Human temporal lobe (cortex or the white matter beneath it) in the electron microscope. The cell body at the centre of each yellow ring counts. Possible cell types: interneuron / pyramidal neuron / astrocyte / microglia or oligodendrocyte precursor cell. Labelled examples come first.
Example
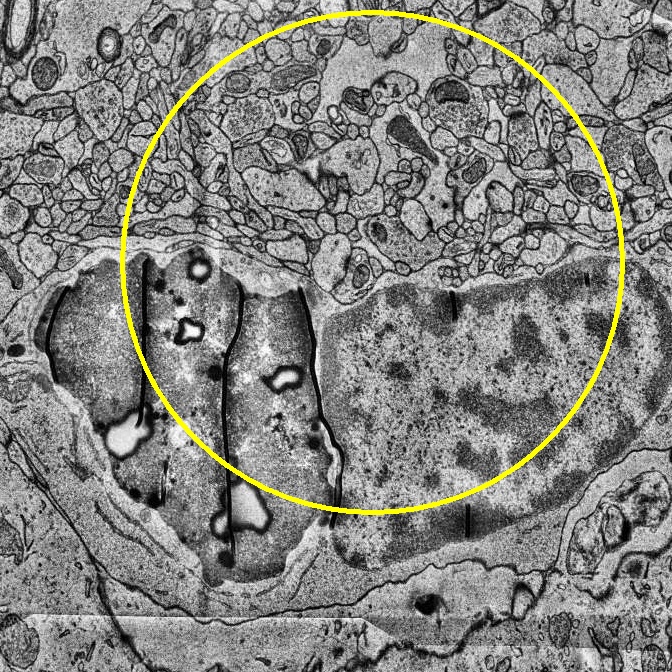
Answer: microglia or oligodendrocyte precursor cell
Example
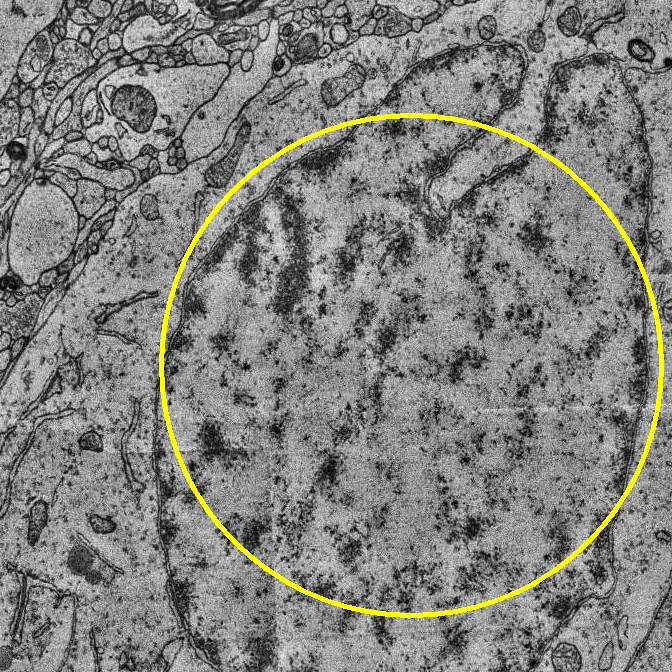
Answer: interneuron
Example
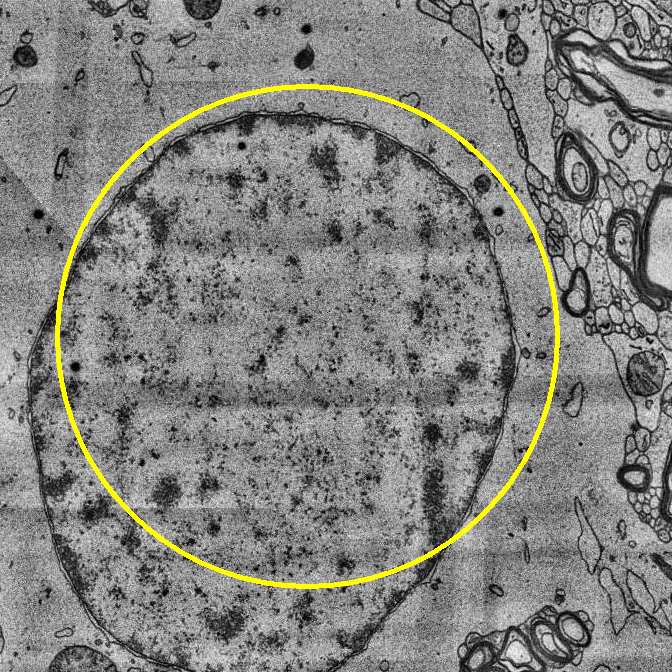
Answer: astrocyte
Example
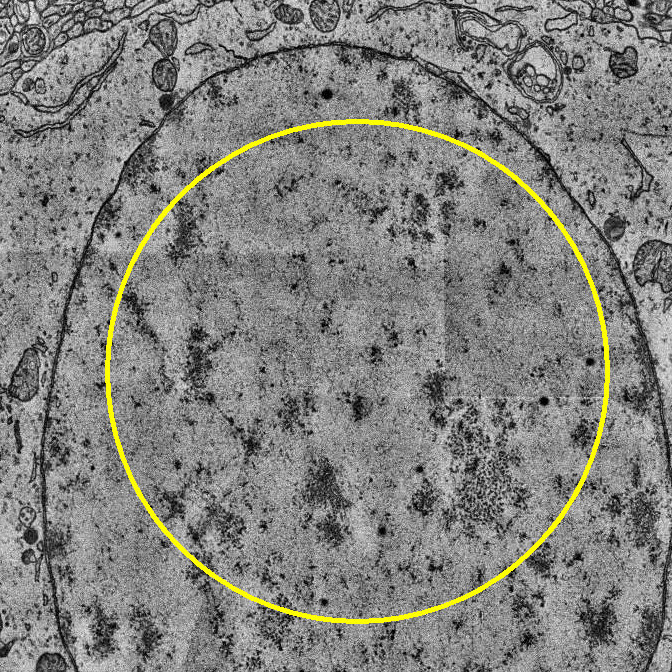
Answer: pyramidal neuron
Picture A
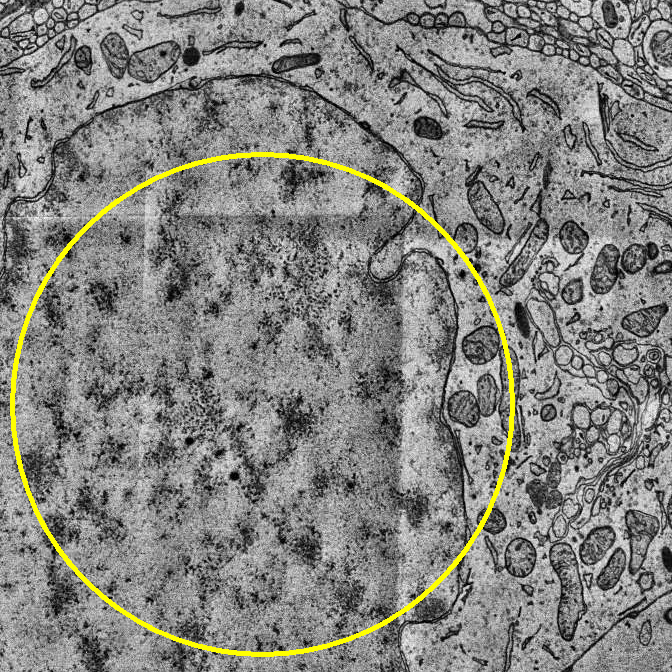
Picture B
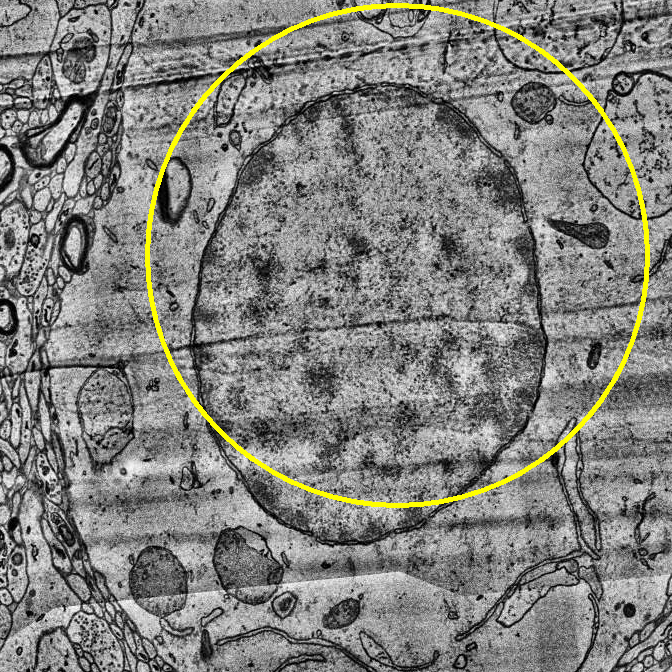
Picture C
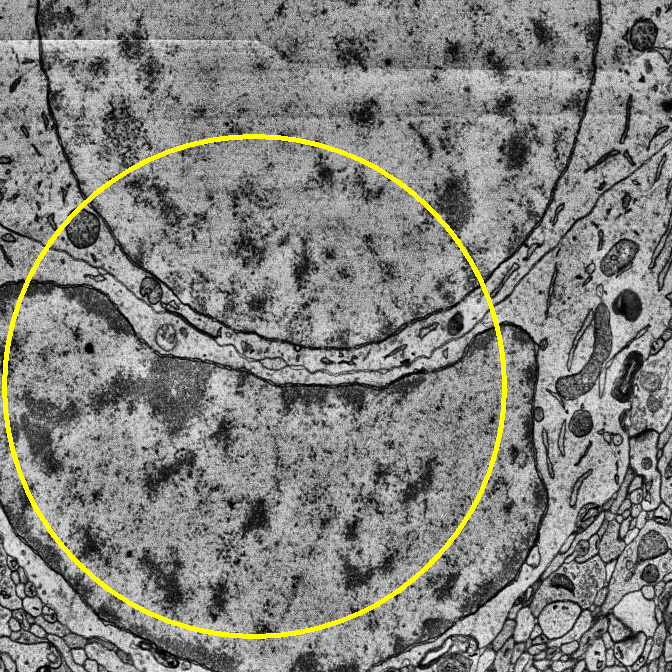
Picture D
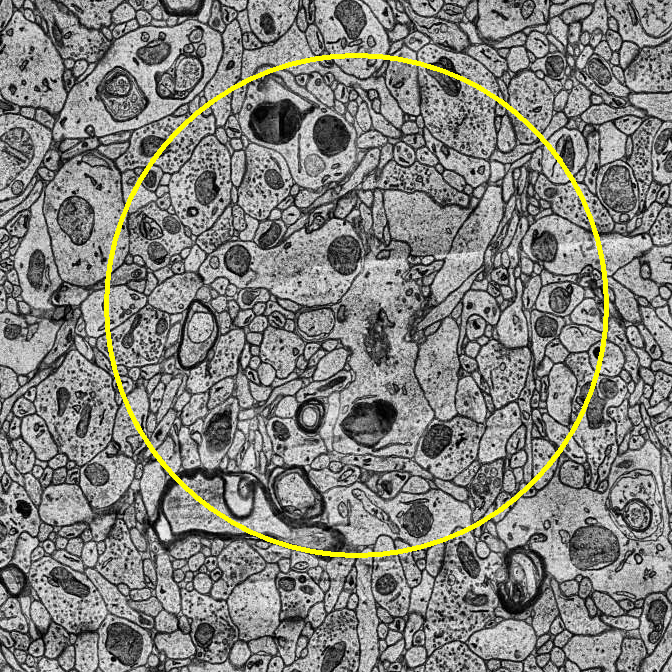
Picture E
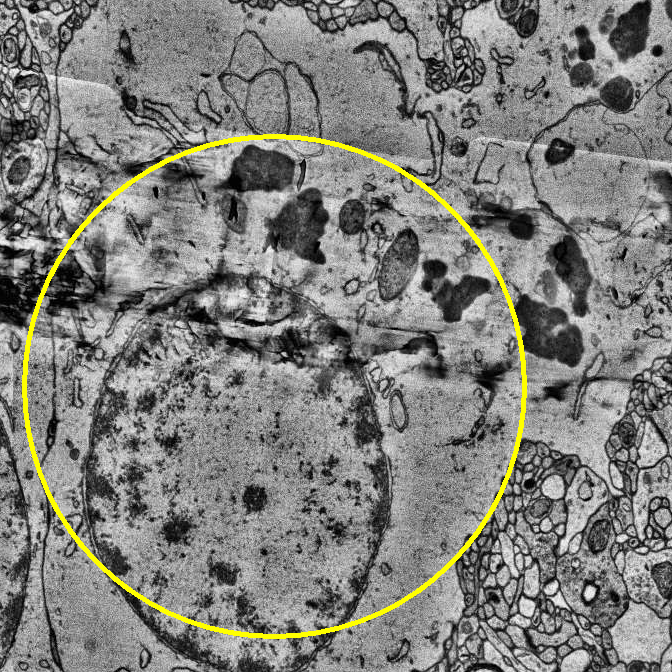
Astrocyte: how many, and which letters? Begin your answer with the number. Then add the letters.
2: B, E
